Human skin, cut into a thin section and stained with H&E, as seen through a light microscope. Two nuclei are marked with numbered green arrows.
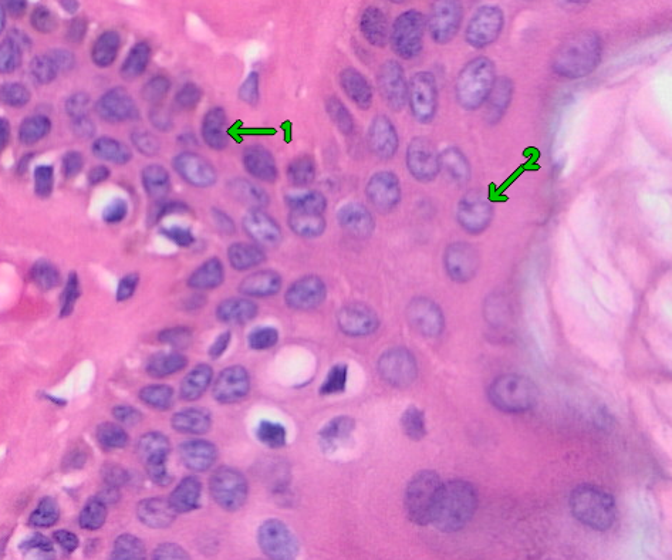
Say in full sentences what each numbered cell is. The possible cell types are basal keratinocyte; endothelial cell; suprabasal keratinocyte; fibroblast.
Cell 1 is a basal keratinocyte and cell 2 is a suprabasal keratinocyte.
